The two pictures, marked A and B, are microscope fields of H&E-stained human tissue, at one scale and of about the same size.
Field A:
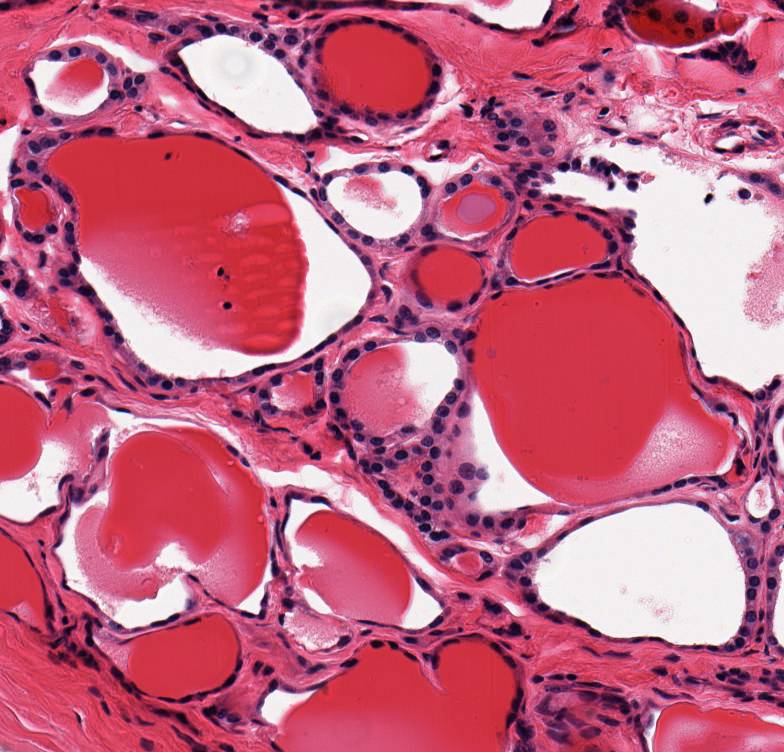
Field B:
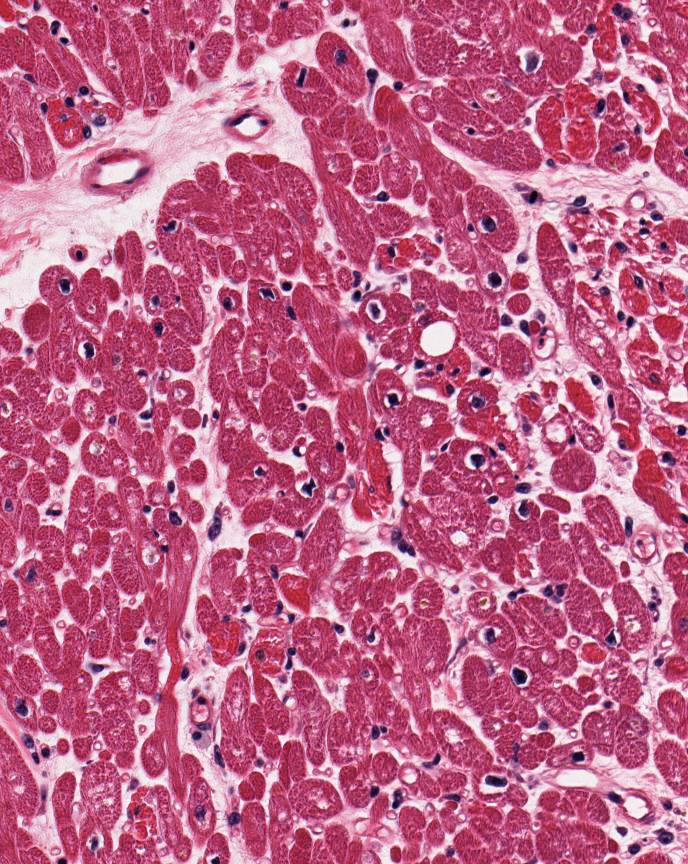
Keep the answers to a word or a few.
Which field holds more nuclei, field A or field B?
A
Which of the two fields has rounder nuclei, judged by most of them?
B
